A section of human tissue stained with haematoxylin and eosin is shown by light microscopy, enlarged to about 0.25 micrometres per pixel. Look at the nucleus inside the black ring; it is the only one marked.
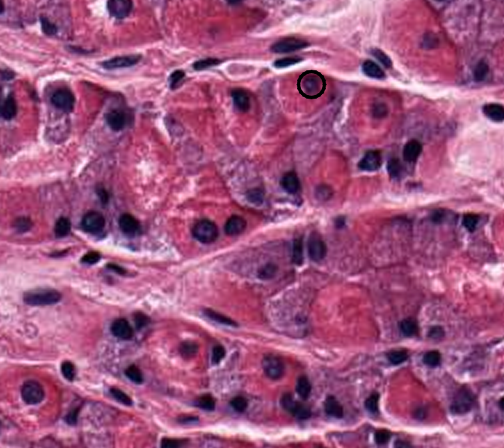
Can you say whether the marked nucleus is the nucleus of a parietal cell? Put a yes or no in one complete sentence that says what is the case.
Yes, the nucleus singled out in the image belongs to a parietal cell.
